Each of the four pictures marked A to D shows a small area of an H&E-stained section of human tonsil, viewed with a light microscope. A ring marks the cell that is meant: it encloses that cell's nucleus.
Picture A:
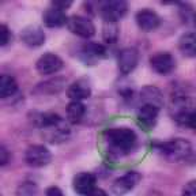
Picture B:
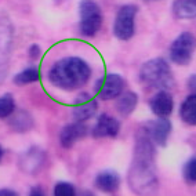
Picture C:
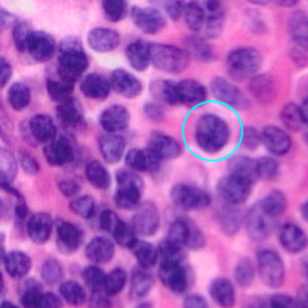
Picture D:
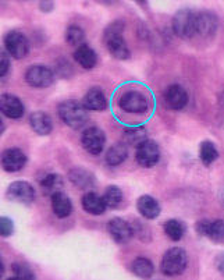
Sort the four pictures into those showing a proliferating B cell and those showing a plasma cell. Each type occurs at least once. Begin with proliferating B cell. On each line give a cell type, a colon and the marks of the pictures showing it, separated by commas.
proliferating B cell: A, B, C
plasma cell: D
